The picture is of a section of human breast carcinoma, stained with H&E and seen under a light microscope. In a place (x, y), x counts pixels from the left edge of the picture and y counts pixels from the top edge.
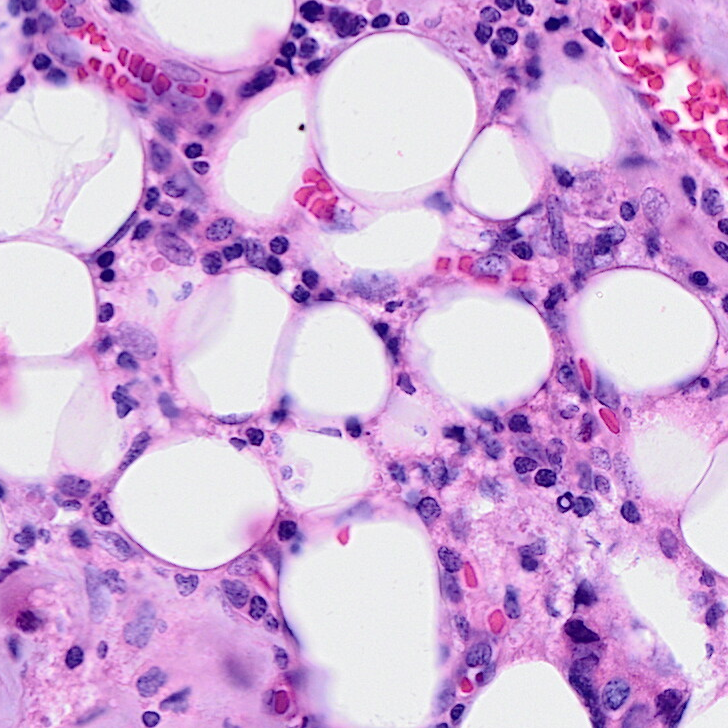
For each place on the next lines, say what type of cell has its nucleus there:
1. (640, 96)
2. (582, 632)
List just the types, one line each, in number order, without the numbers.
endothelial cell
carcinoma cell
